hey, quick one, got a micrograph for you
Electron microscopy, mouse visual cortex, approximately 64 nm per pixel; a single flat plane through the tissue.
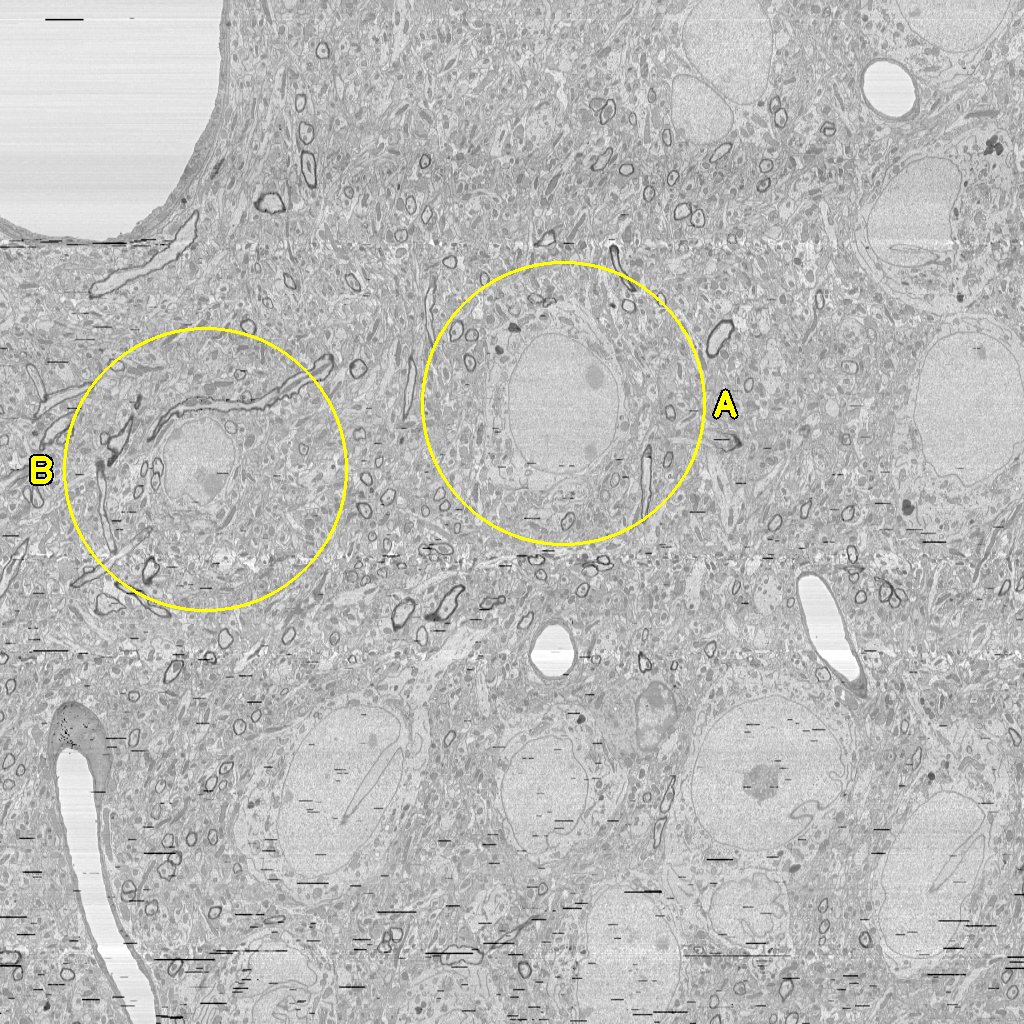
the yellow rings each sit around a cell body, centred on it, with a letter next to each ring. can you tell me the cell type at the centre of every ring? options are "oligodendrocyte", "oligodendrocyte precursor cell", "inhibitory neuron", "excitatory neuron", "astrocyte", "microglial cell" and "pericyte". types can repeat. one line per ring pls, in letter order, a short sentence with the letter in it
Ring A goes around an excitatory neuron.
Ring B goes around an oligodendrocyte precursor cell.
